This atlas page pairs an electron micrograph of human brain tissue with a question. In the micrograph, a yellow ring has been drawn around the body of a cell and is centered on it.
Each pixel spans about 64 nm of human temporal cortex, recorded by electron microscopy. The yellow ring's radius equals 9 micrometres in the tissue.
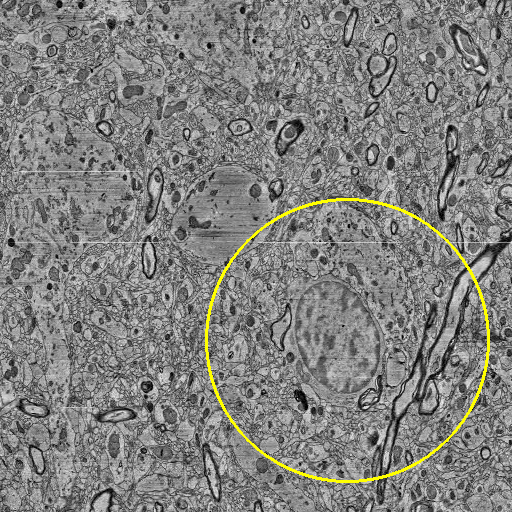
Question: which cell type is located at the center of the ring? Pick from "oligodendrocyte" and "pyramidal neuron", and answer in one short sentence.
Located at the center of the ring is an oligodendrocyte.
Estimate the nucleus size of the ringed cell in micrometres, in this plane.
The nucleus appears roughly 7 by 5 micrometres in this plane.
